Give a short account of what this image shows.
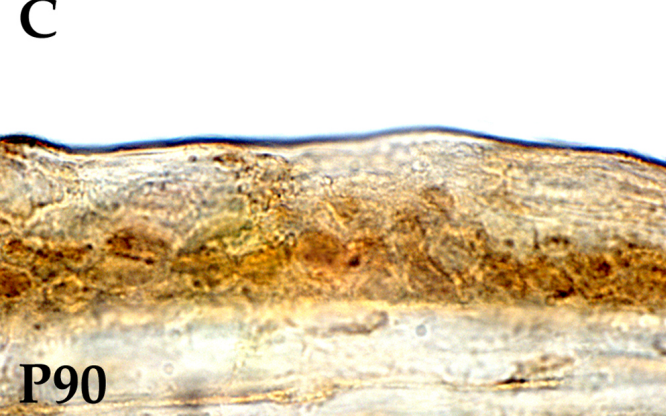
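Multilayered corneal epithelium over lamellar stroma, with brown staining in the basal and immediate suprabasal layers. The lower cells are packed and show brown cytoplasm in an irregular band. The superficial layers are flatter and paler toward the surface. Beneath the epithelium lie pale stromal lamellae with scattered flattened keratocytes.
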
